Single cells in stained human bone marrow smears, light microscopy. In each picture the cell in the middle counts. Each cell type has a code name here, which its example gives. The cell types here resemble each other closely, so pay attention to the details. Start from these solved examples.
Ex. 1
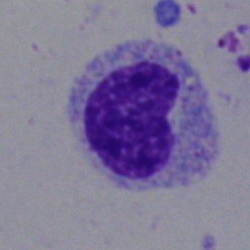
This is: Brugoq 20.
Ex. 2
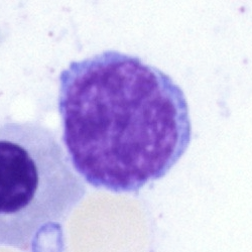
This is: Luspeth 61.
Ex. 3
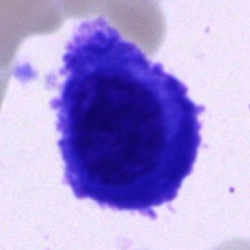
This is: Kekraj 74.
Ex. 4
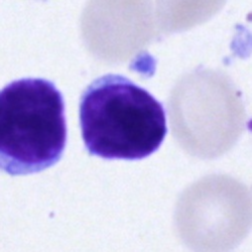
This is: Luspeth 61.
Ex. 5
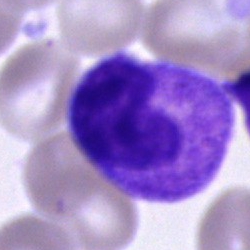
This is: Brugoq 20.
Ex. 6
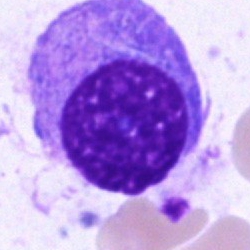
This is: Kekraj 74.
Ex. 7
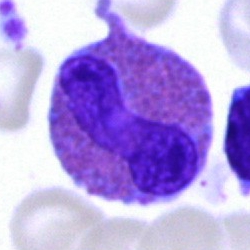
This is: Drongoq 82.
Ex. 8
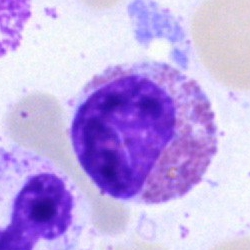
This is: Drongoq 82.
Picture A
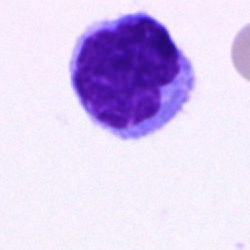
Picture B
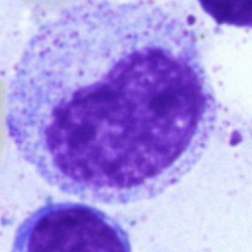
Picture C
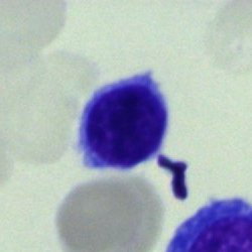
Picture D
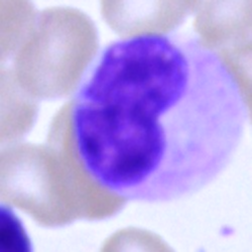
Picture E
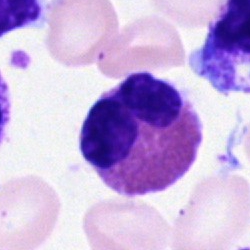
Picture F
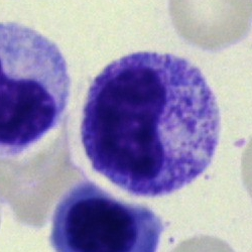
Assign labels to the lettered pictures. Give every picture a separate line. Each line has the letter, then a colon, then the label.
A: Luspeth 61.
B: Brugoq 20.
C: Luspeth 61.
D: Brugoq 20.
E: Drongoq 82.
F: Brugoq 20.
